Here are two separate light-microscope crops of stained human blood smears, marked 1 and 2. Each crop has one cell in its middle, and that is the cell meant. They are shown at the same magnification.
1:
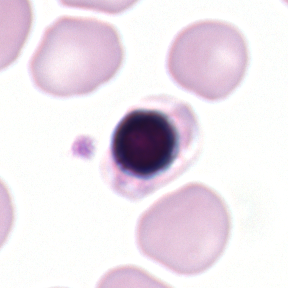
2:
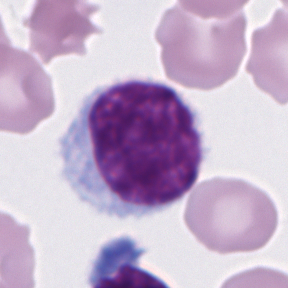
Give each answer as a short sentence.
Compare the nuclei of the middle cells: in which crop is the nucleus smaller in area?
It is the nucleus in crop 1; the one in crop 2 has about 4 times its area.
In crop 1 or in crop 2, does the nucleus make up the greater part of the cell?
Of the two, the nucleus in crop 2 makes up the greater part of its cell.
